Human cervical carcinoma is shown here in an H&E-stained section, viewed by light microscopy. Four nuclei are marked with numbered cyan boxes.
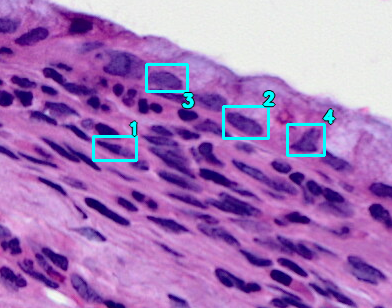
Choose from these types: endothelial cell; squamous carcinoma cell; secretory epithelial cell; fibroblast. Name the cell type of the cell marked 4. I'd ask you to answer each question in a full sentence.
Cell 4 should be recorded as a secretory epithelial cell.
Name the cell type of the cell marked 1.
Recognised here as an endothelial cell is the cell numbered 1.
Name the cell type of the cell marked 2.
The marked nucleus 2 is that of a secretory epithelial cell.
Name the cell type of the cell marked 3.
Heads up, the cell numbered 3 is a secretory epithelial cell.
